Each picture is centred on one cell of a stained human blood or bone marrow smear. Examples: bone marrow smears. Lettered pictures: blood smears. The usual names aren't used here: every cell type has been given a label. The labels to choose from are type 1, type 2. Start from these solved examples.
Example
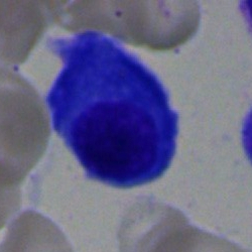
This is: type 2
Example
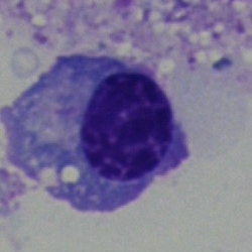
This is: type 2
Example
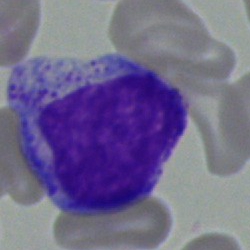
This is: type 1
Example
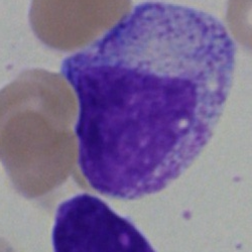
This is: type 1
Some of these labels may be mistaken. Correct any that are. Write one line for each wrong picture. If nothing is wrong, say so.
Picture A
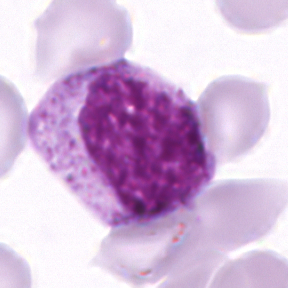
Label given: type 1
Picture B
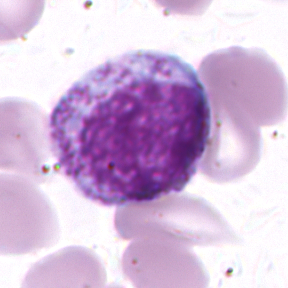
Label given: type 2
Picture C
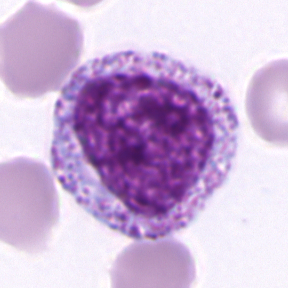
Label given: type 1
B is labelled type 2; correct label: type 1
